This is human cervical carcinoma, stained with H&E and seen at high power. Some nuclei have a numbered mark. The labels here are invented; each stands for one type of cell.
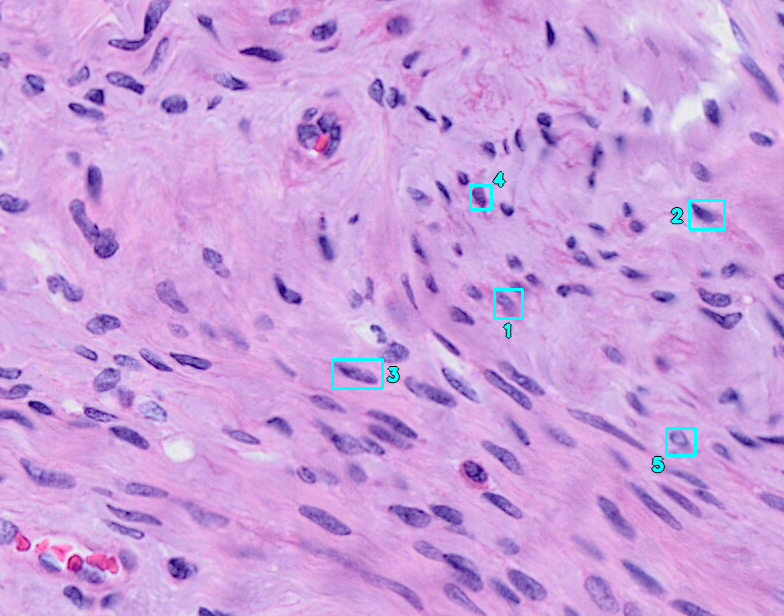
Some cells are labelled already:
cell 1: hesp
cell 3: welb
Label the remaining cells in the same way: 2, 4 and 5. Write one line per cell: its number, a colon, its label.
2: welb
4: hesp
5: hesp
